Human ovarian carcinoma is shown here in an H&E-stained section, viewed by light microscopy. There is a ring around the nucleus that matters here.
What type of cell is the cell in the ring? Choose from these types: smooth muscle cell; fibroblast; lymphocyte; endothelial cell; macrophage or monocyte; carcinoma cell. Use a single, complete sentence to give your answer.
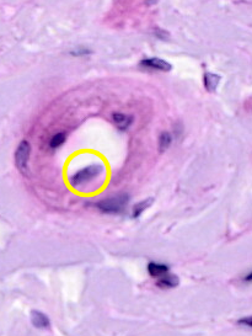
The cell type of the cell in the ring is that of an endothelial cell.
